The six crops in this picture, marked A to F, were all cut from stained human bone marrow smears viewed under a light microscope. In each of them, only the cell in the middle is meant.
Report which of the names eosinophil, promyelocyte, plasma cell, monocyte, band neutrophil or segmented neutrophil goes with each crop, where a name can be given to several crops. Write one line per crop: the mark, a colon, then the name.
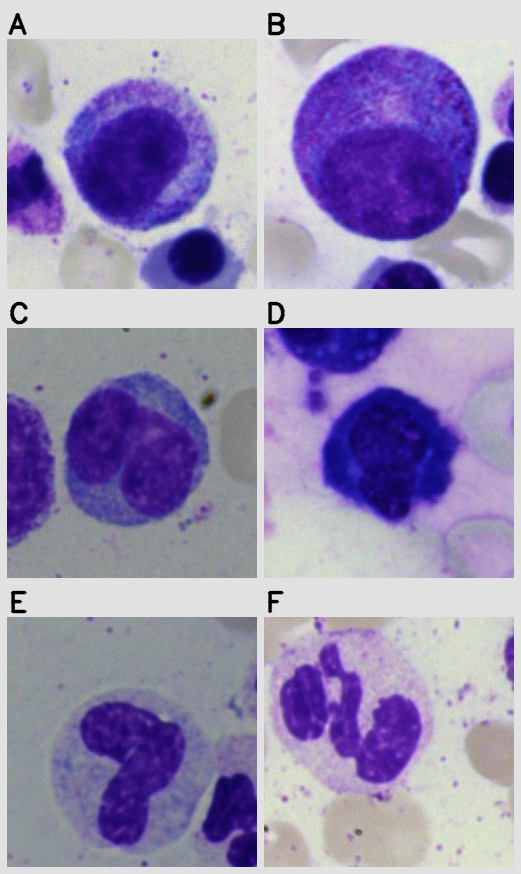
A: promyelocyte
B: promyelocyte
C: monocyte
D: plasma cell
E: band neutrophil
F: segmented neutrophil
